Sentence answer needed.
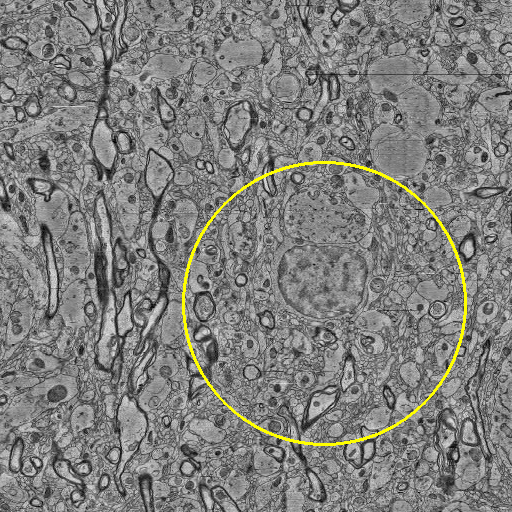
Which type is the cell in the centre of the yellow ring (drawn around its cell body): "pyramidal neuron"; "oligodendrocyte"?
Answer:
In the centre of the yellow ring is an oligodendrocyte.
